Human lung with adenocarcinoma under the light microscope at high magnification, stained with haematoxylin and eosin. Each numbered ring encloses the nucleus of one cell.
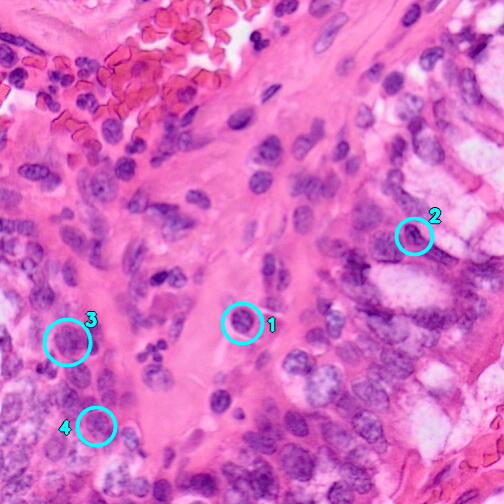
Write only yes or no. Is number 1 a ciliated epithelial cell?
no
